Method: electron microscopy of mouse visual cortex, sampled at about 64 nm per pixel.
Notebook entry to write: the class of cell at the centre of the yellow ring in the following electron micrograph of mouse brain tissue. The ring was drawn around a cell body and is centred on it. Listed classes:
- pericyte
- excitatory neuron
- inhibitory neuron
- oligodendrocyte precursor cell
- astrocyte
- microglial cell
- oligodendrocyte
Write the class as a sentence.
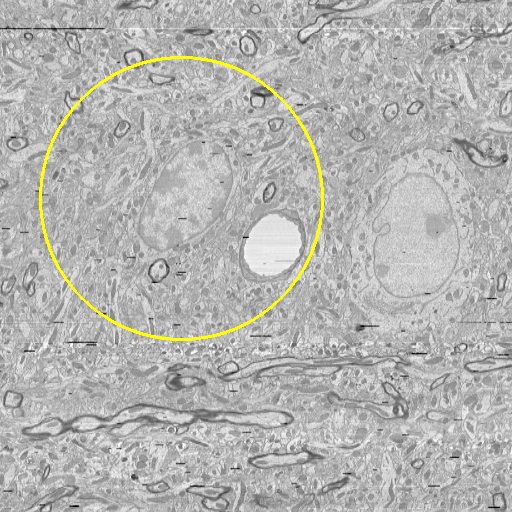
The yellow ring sits on an oligodendrocyte.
